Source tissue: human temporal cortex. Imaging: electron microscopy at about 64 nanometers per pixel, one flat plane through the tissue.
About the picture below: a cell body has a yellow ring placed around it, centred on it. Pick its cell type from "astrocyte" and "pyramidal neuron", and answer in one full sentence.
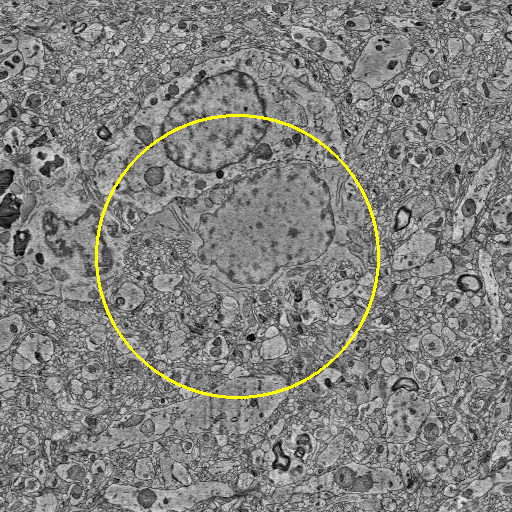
In the picture, an astrocyte is the cell sitting at the centre of the yellow ring.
